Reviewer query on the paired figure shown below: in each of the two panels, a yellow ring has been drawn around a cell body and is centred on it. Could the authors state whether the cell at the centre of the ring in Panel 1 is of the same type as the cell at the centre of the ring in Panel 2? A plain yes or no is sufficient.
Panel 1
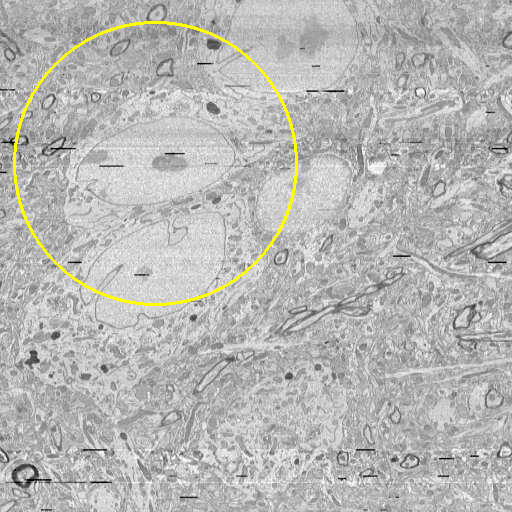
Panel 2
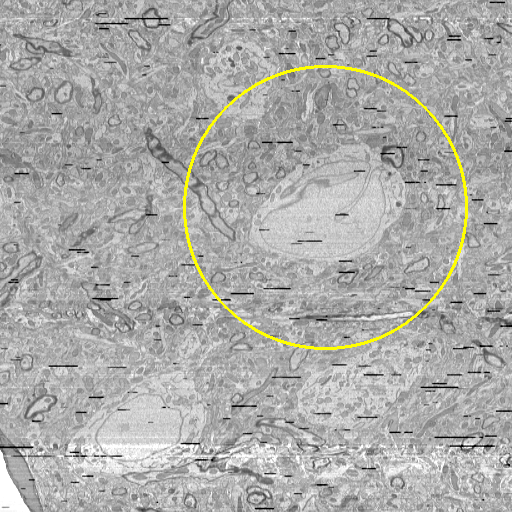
no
